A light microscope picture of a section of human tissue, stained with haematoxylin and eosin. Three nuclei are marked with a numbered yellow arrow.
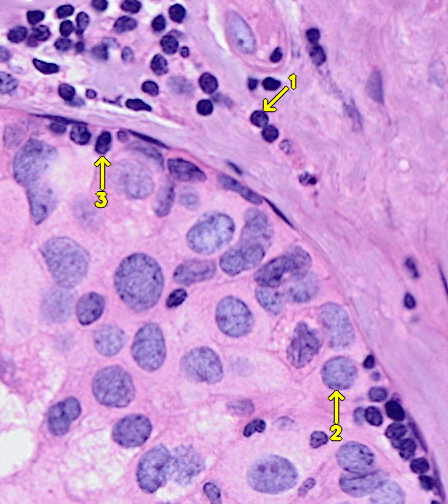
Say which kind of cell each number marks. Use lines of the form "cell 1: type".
cell 1: lymphocyte
cell 2: carcinoma cell
cell 3: lymphocyte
